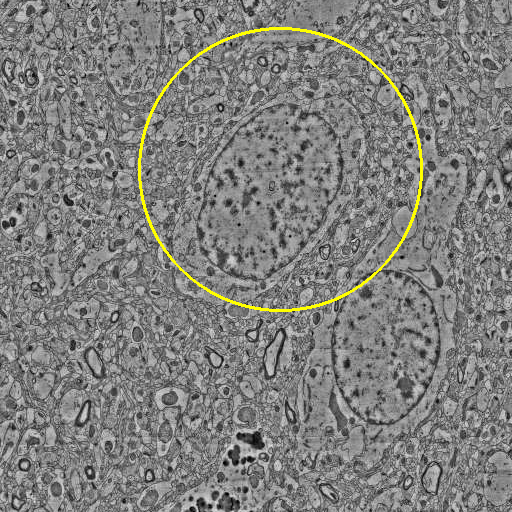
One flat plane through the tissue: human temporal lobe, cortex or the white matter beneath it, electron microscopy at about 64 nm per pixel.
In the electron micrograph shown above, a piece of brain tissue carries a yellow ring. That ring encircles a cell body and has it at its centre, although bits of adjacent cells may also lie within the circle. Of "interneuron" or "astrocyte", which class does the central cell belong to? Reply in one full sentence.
The cell body at the centre of the yellow ring belongs to an interneuron.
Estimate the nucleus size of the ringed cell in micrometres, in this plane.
In this plane the nucleus is about 12 micrometres by 8.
